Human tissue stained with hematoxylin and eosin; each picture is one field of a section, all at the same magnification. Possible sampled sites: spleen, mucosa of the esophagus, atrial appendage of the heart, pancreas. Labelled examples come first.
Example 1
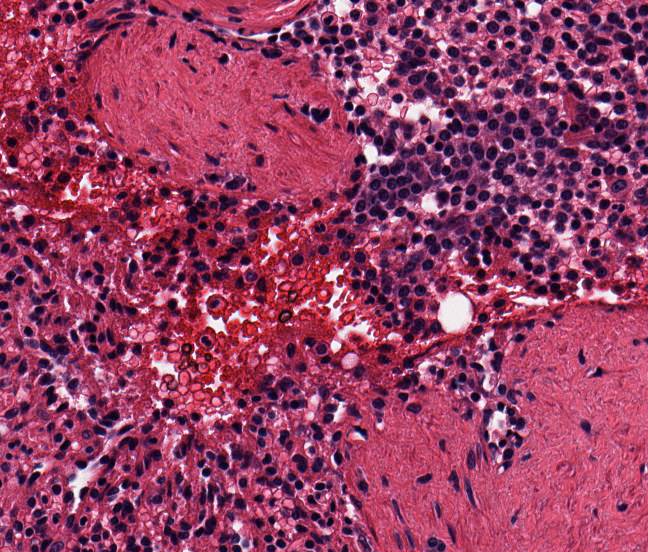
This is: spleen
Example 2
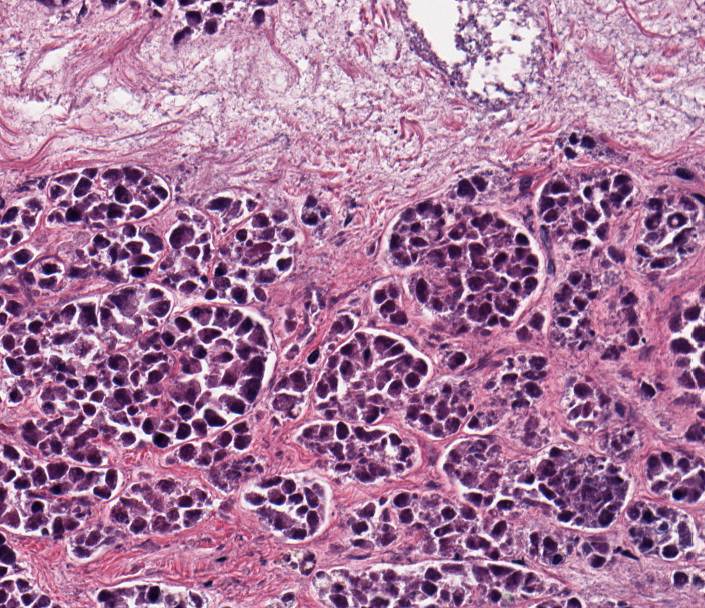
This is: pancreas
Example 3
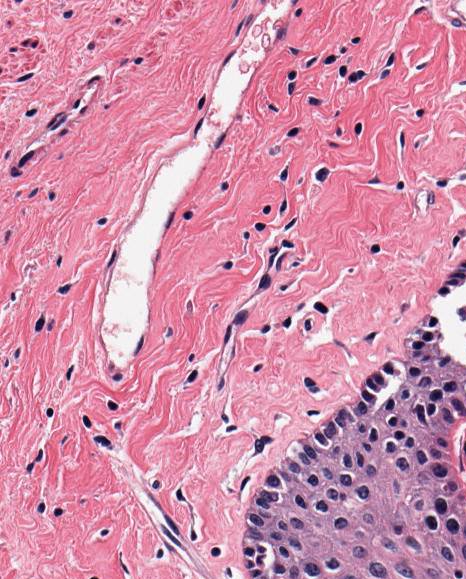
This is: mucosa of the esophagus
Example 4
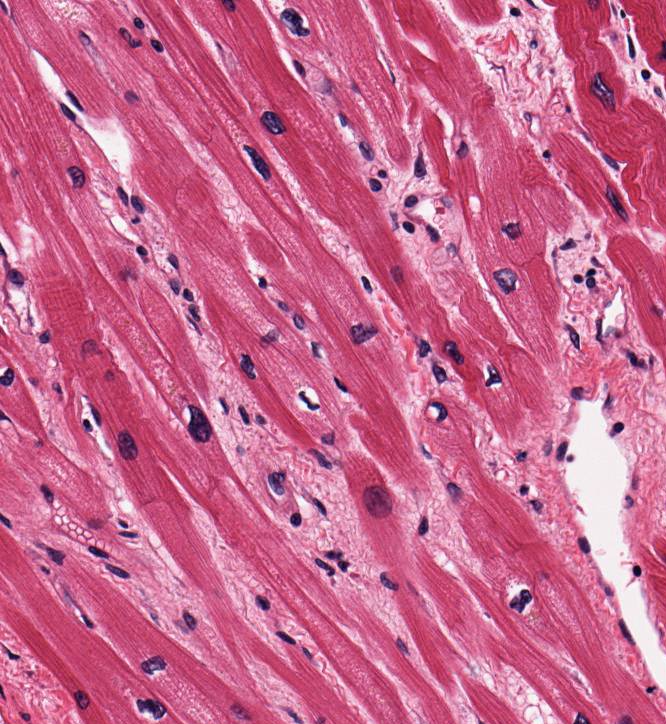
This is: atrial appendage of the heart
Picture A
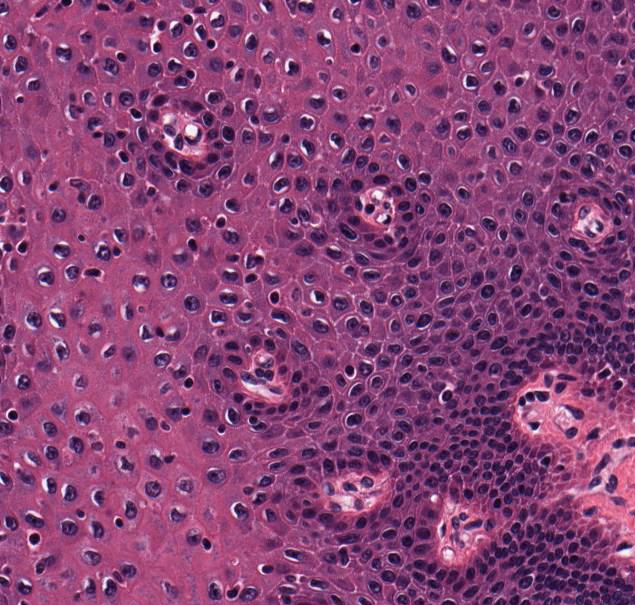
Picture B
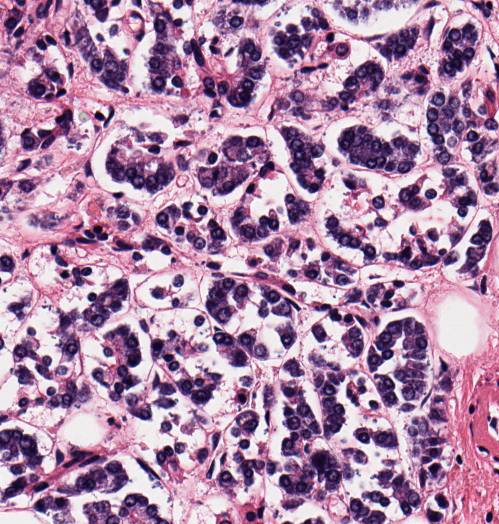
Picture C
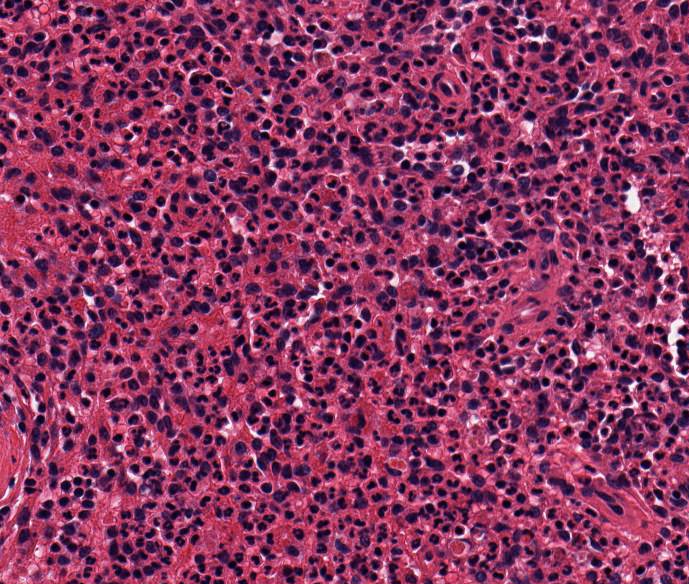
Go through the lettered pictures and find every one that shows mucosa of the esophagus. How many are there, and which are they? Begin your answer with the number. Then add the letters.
1, namely A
